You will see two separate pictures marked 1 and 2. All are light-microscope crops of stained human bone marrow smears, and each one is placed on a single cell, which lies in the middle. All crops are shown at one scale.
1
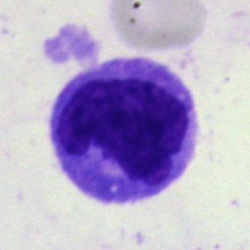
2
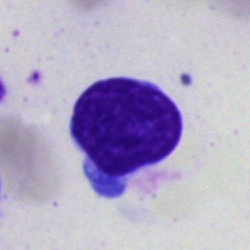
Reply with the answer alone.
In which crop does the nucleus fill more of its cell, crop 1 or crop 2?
2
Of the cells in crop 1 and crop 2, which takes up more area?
1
